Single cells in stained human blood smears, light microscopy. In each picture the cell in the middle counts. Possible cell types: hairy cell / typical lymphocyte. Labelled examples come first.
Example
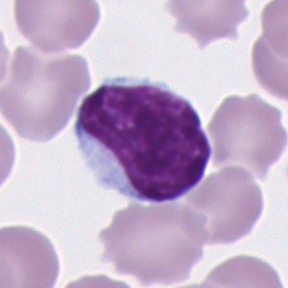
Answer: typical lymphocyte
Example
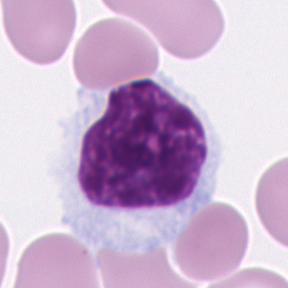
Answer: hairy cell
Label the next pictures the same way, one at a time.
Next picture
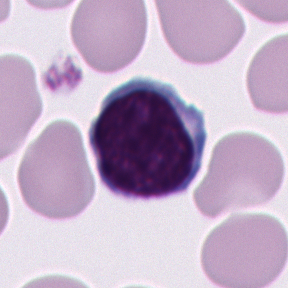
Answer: typical lymphocyte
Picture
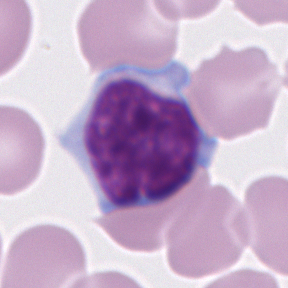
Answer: typical lymphocyte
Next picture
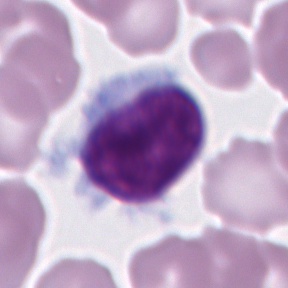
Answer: hairy cell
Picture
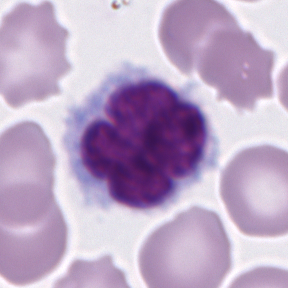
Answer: hairy cell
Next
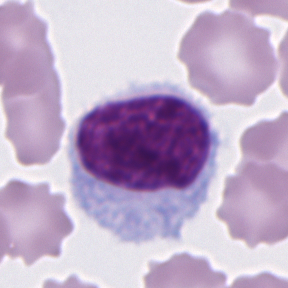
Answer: hairy cell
